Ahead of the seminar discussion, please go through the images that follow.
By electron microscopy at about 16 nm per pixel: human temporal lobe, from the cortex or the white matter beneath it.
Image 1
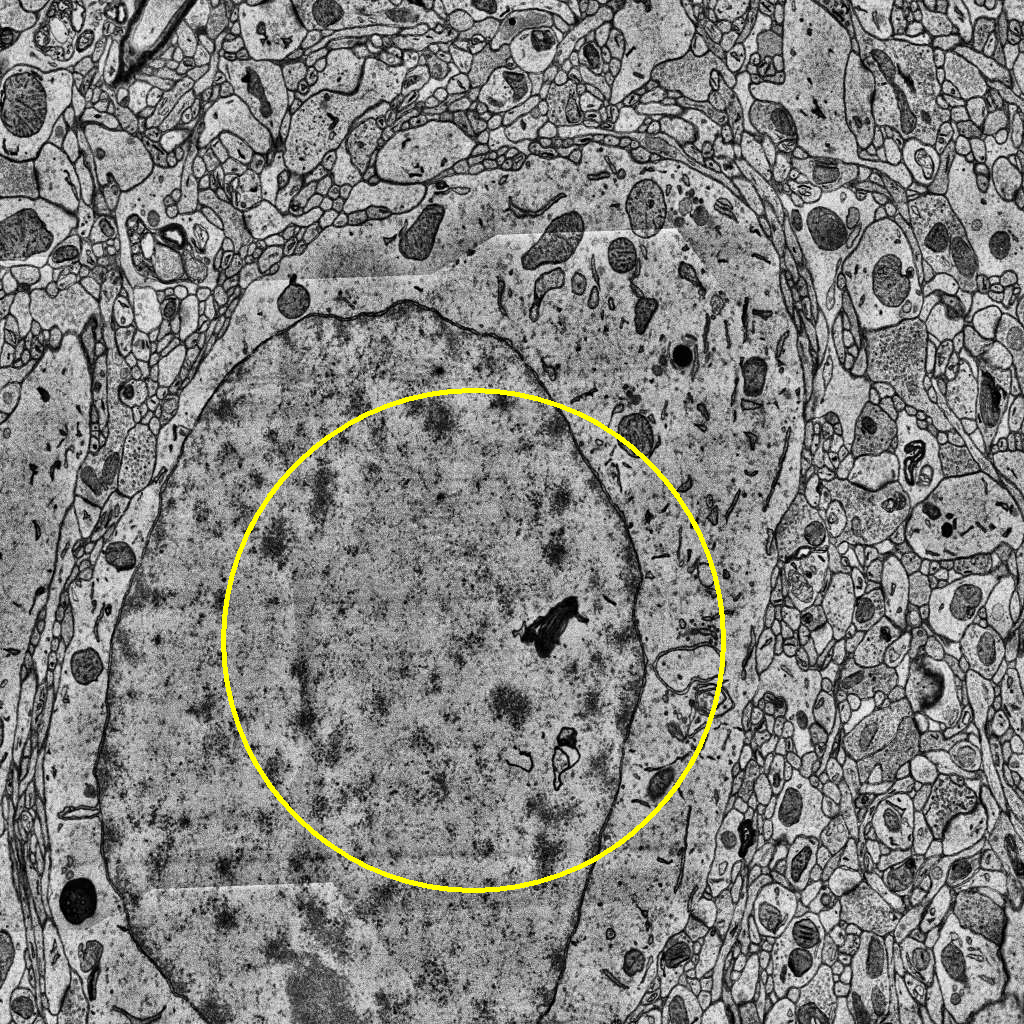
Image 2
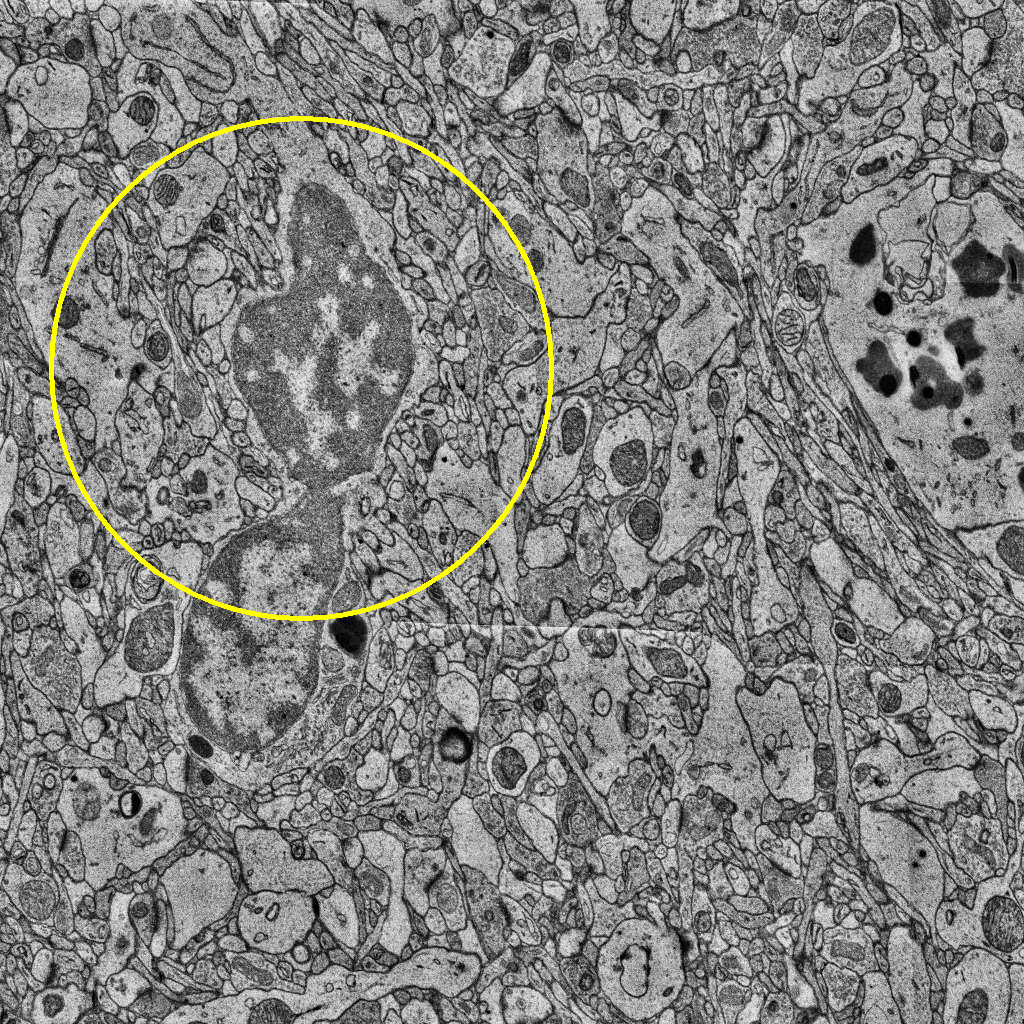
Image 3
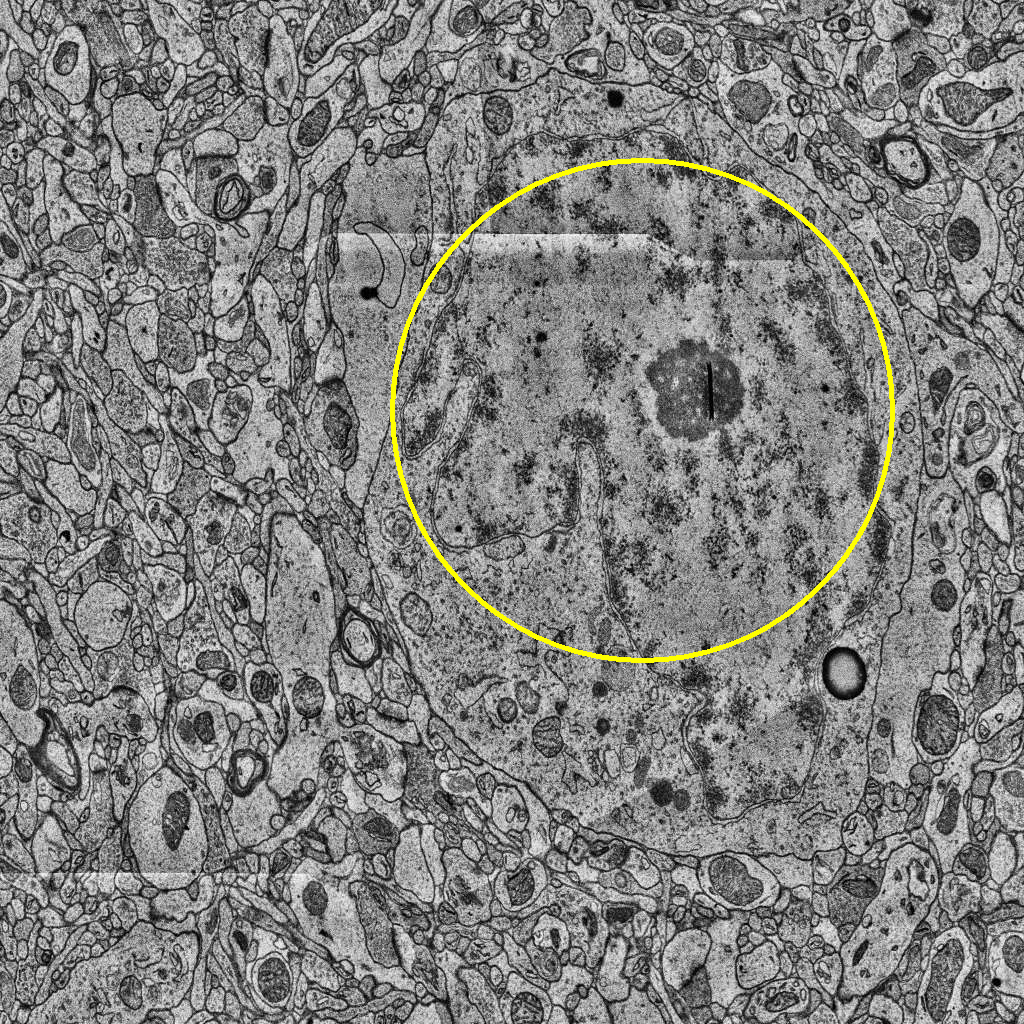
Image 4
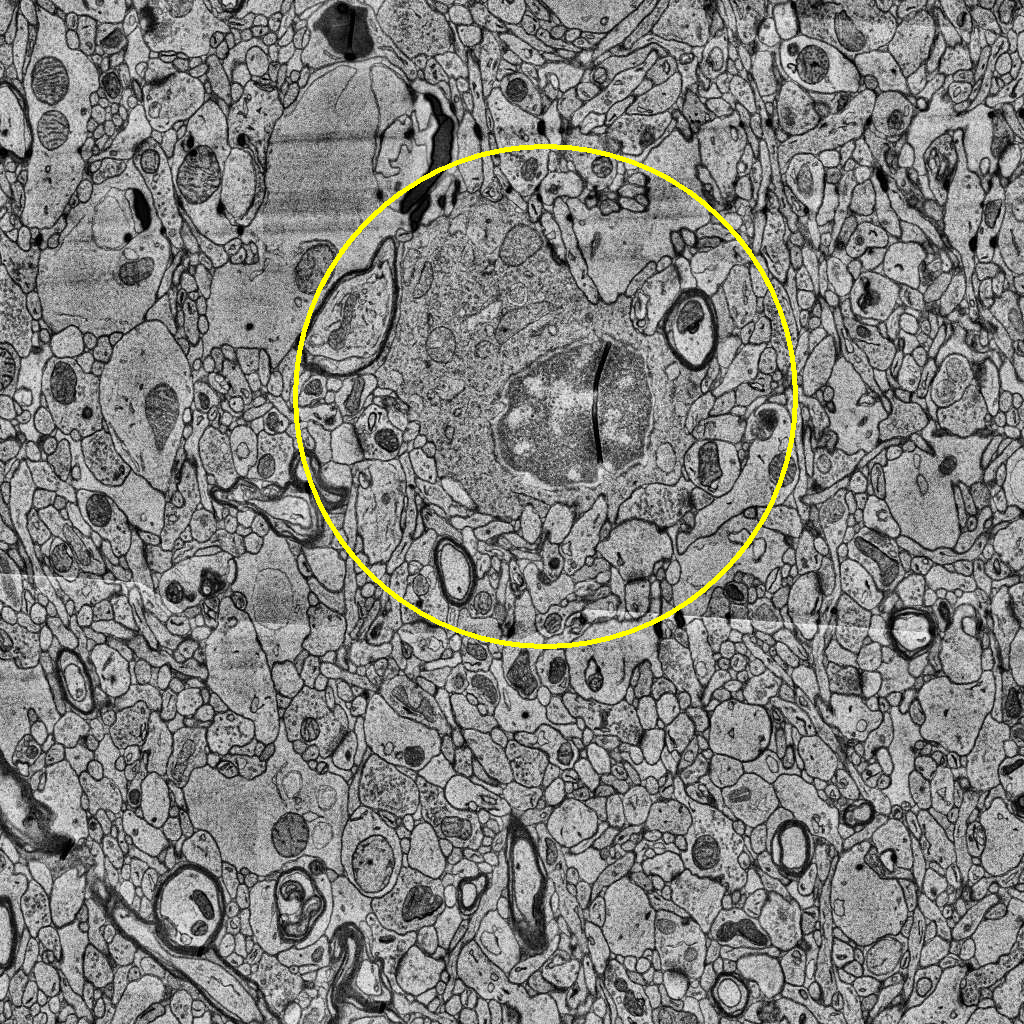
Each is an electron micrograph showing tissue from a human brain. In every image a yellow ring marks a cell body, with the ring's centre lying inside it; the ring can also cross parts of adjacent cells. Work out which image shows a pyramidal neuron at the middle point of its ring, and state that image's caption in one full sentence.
In Image 1, the ring's centre lies within the cell you are looking for.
